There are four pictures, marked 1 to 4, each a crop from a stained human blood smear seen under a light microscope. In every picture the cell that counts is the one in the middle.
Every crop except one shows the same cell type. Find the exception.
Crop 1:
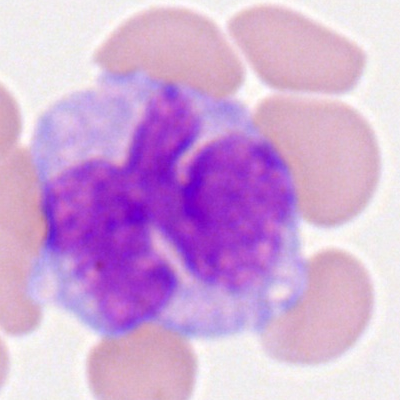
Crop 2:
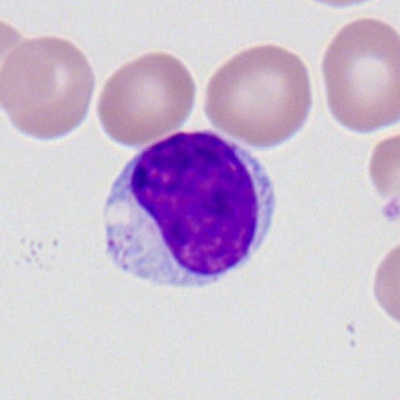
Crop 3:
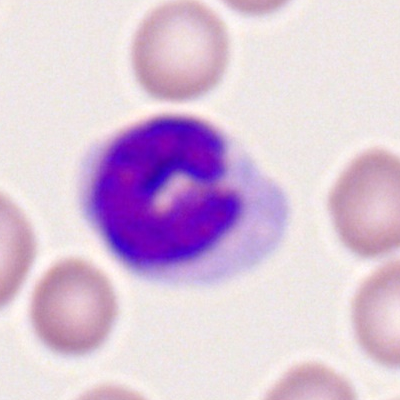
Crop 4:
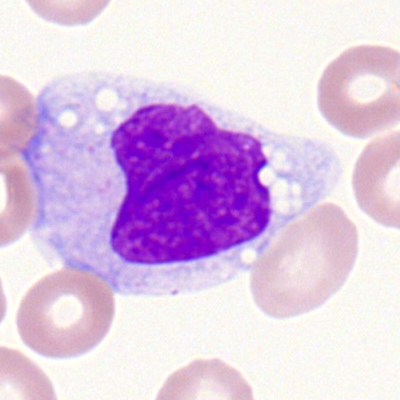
2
